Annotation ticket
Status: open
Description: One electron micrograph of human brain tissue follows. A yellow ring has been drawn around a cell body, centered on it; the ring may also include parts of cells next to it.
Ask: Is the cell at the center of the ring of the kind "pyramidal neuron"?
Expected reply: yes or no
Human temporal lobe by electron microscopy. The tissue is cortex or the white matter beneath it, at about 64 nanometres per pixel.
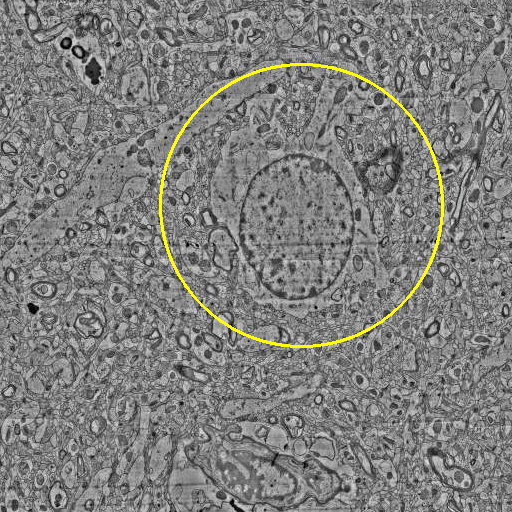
no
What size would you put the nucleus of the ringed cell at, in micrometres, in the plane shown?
Roughly 9 by 8 micrometres in this plane, for the nucleus of the ringed cell.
